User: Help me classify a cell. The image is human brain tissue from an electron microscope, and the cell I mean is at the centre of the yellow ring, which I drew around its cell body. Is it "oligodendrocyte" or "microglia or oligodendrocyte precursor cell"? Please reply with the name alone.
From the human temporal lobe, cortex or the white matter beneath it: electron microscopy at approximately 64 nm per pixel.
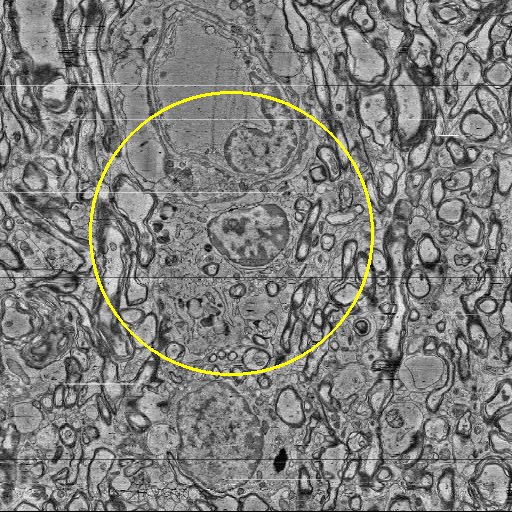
microglia or oligodendrocyte precursor cell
